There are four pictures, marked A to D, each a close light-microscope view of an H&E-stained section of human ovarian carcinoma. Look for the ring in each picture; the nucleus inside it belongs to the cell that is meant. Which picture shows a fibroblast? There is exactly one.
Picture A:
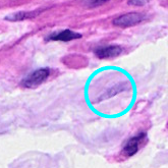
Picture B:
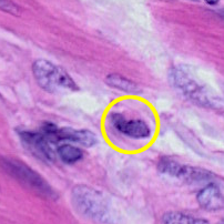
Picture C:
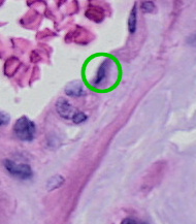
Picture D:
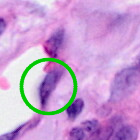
A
